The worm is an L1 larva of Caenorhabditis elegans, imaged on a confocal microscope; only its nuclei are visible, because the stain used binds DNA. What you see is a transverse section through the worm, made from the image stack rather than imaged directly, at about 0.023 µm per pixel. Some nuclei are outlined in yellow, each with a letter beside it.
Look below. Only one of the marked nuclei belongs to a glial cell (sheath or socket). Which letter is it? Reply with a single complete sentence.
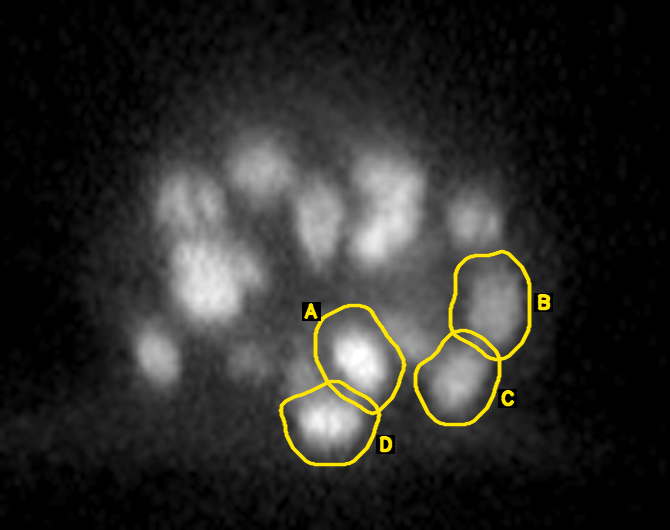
D is the one that belongs to a glial cell (sheath or socket).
